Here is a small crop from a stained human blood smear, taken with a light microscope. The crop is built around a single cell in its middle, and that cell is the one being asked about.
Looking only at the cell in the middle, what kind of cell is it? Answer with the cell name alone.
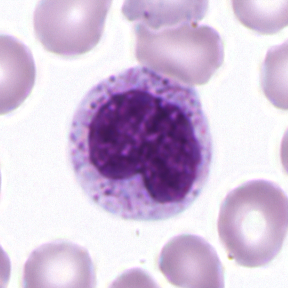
metamyelocyte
